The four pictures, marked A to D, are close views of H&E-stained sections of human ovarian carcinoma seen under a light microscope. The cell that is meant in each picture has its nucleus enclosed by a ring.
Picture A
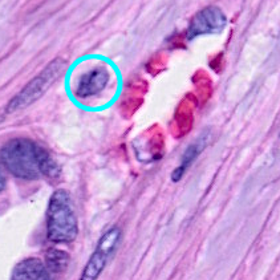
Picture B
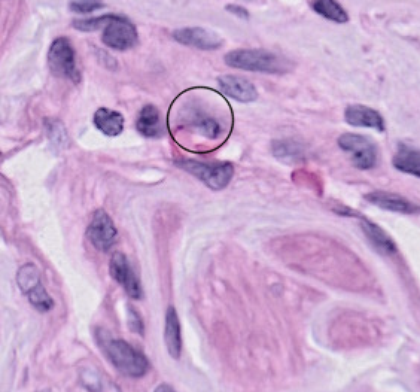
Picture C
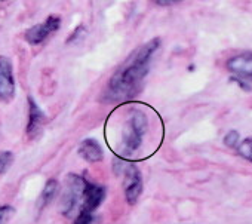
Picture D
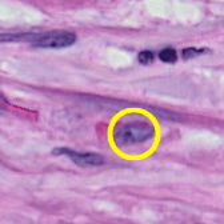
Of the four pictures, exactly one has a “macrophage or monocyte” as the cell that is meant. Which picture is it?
A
